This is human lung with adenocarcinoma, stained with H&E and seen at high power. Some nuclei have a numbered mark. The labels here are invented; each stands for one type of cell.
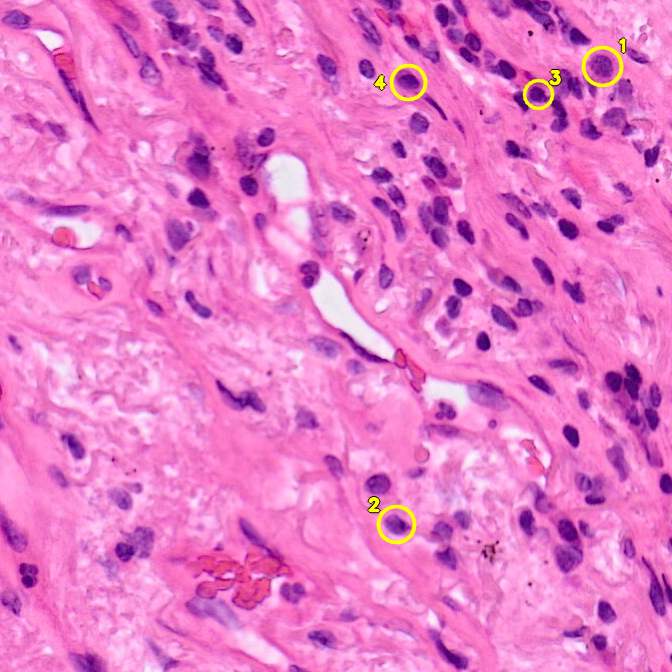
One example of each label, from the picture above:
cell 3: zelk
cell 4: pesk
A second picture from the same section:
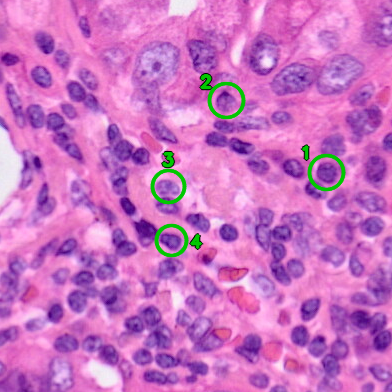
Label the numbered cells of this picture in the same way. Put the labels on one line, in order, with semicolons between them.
pesk; zelk; zelk; zelk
